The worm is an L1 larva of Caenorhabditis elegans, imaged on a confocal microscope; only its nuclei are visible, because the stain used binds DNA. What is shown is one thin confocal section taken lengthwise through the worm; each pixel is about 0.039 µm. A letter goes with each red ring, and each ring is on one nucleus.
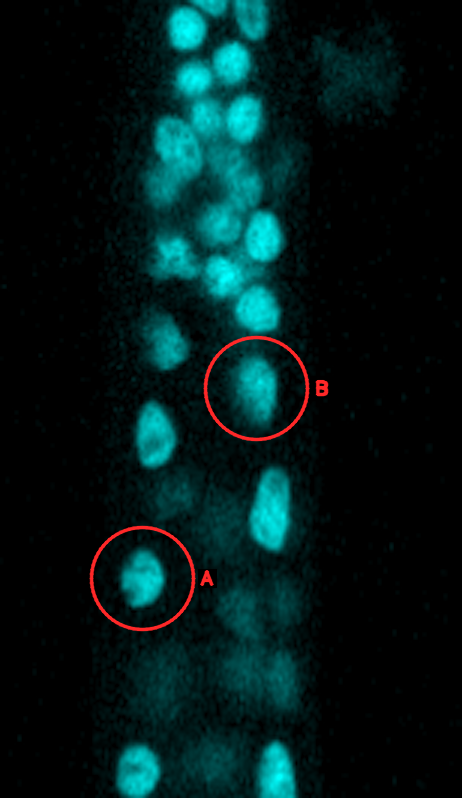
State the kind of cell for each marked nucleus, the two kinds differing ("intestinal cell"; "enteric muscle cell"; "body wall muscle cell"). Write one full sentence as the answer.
The nucleus A is that of a body wall muscle cell, while B is that of an enteric muscle cell.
